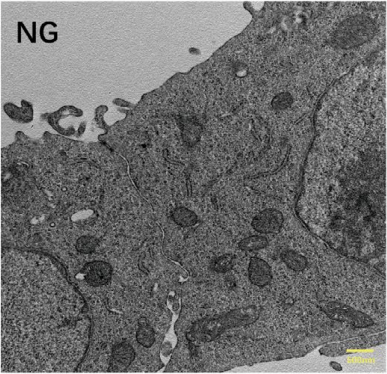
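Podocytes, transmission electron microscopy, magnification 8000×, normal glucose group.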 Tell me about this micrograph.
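Many small, round to oval mitochondria with dense matrices and visible inner folds are scattered through the finely granular cytoplasm. Thin membrane-bound profiles and a few small vesicles lie between them. Cell borders run across the field. Small cell surface projections extend into the pale space at the upper left. Part of a nucleus can be seen at the right edge.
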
